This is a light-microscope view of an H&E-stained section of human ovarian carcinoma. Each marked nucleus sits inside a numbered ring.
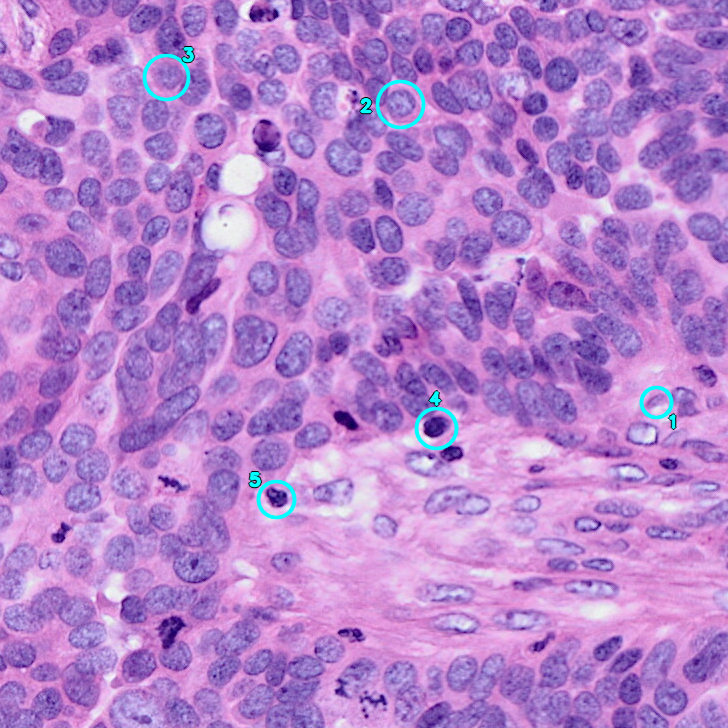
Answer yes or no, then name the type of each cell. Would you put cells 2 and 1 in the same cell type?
No, cell 2 is a carcinoma cell and cell 1 is a fibroblast.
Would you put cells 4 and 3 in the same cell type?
No, cell 4 is a lymphocyte and cell 3 is a carcinoma cell.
